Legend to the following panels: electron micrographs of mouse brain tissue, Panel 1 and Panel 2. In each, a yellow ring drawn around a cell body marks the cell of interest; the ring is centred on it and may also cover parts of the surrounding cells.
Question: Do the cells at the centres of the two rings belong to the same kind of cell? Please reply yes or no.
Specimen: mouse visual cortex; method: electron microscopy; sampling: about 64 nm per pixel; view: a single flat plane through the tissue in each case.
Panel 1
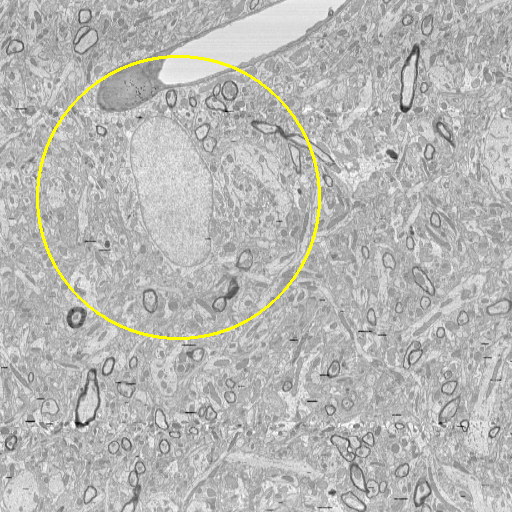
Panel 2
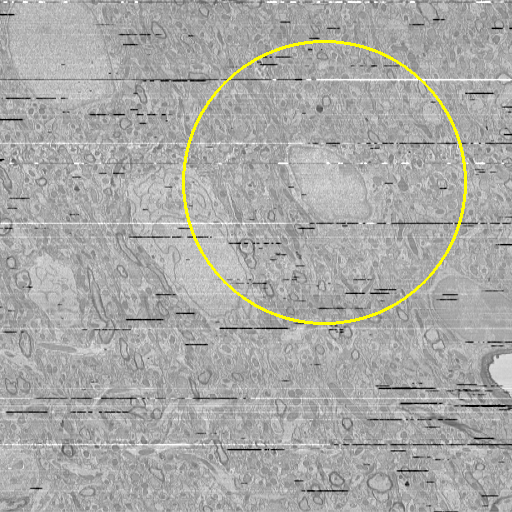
yes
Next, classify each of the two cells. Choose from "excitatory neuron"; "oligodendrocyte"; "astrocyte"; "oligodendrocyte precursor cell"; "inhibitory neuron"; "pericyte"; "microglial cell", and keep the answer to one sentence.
Each of the ringed cells, first and second, is an astrocyte.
